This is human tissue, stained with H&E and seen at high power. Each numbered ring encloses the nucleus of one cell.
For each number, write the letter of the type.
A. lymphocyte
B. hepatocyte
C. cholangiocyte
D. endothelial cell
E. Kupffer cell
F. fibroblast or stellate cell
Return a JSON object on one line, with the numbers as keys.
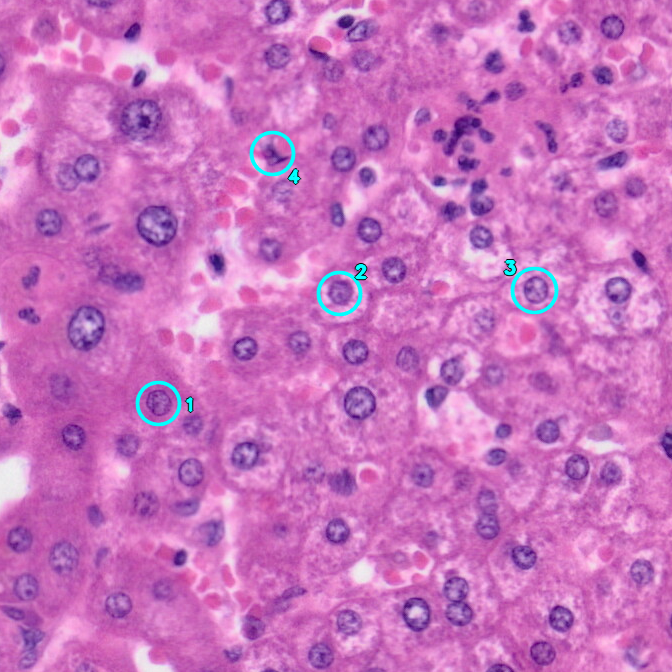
{"1": "B", "2": "B", "3": "B", "4": "D"}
